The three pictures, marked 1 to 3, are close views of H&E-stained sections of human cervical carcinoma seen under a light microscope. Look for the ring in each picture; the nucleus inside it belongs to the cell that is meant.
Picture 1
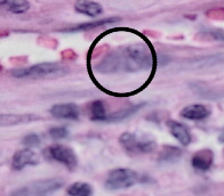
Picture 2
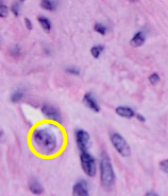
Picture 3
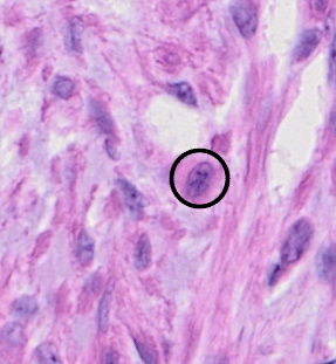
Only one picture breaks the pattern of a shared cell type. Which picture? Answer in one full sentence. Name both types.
The different one is picture 3; it shows a “macrophage or monocyte”, whereas all the others show endothelial cells.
